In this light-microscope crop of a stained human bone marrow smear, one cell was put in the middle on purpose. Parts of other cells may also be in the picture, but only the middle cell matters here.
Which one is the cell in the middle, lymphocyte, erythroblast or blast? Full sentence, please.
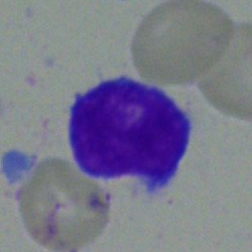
Among the cells in view, the one in the middle is a blast.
